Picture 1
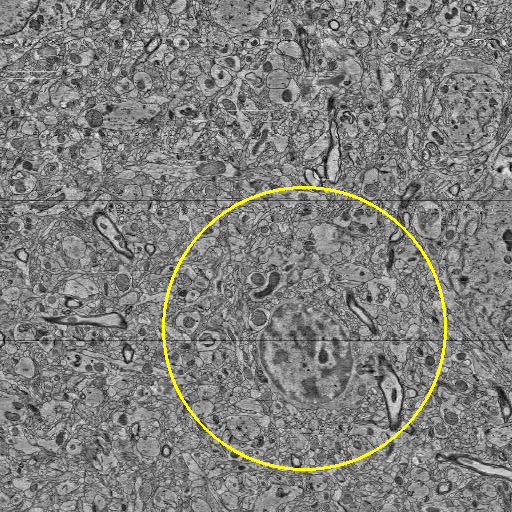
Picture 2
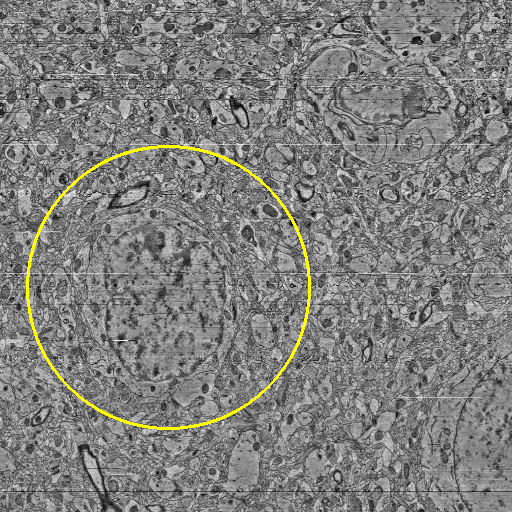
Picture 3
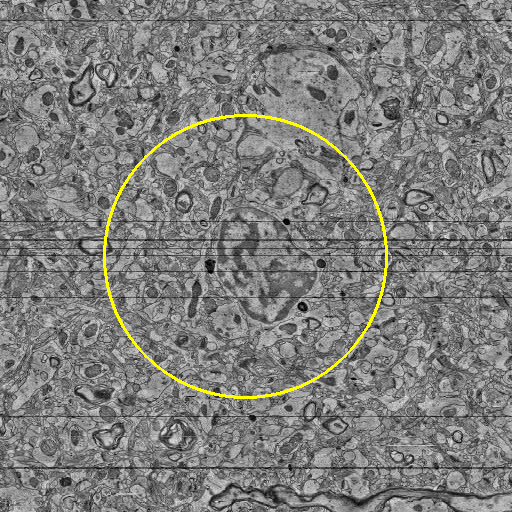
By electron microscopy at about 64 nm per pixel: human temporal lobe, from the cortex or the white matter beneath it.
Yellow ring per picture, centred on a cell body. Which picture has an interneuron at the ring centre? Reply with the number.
2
